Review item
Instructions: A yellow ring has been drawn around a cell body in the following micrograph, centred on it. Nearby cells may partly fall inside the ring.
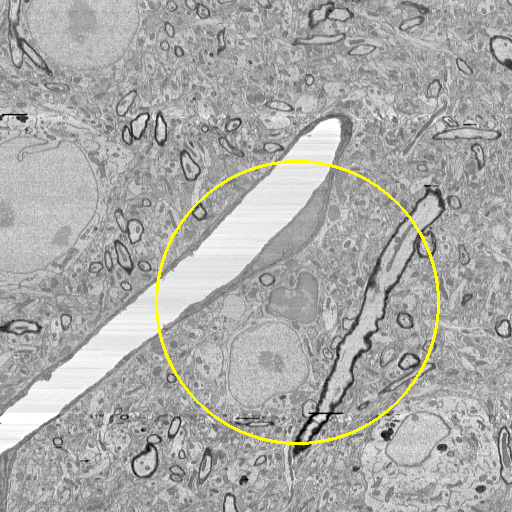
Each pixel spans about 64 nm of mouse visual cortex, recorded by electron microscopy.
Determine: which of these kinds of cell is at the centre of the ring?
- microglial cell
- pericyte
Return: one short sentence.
The cell body in the middle of the ring is that of a microglial cell.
